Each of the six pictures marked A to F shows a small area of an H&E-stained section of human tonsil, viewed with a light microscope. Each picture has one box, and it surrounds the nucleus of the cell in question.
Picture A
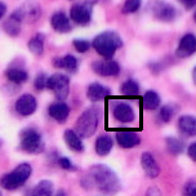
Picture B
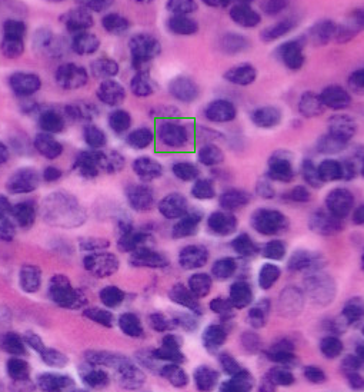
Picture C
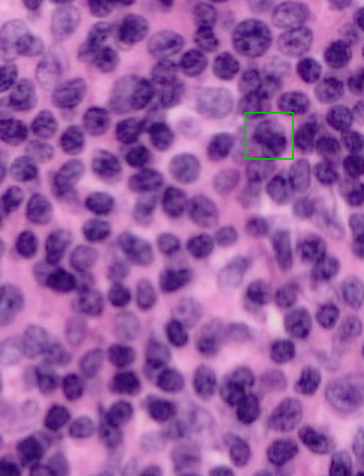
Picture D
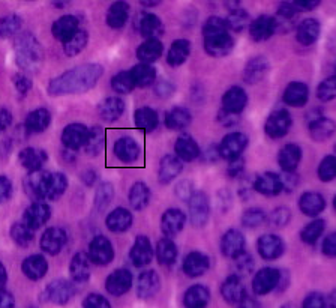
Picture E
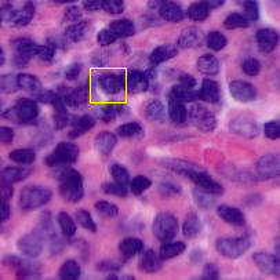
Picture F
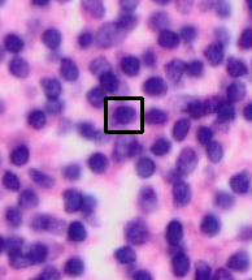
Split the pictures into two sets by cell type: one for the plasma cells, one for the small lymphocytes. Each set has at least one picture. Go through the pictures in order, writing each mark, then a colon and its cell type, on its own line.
A: small lymphocyte
B: plasma cell
C: small lymphocyte
D: plasma cell
E: small lymphocyte
F: small lymphocyte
